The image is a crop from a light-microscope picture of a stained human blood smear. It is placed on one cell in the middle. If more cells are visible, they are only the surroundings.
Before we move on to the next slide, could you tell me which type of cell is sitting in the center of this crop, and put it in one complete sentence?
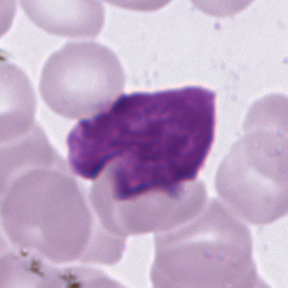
Centrally within this crop lies a smudge cell.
